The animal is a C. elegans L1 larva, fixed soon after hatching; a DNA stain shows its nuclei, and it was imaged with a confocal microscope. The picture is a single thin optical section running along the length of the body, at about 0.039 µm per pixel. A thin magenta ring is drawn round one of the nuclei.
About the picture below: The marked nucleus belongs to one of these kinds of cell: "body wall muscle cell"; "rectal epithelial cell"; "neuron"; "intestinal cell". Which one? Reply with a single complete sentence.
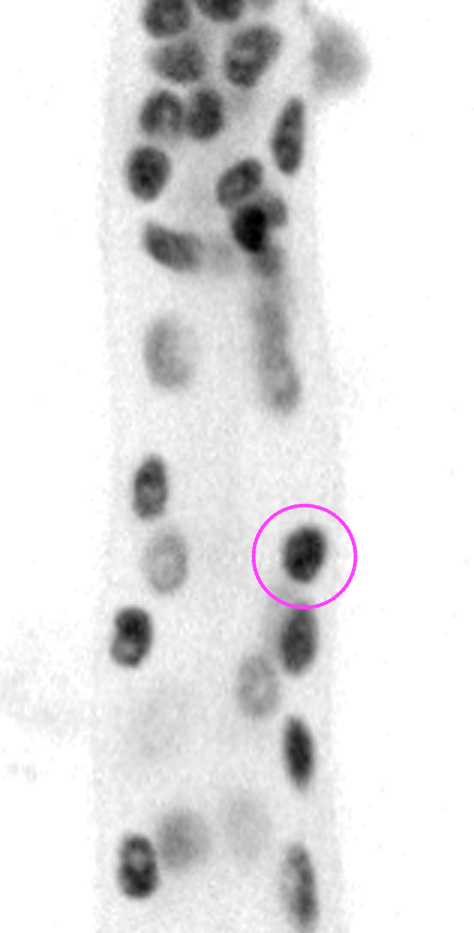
This nucleus is from a neuron.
